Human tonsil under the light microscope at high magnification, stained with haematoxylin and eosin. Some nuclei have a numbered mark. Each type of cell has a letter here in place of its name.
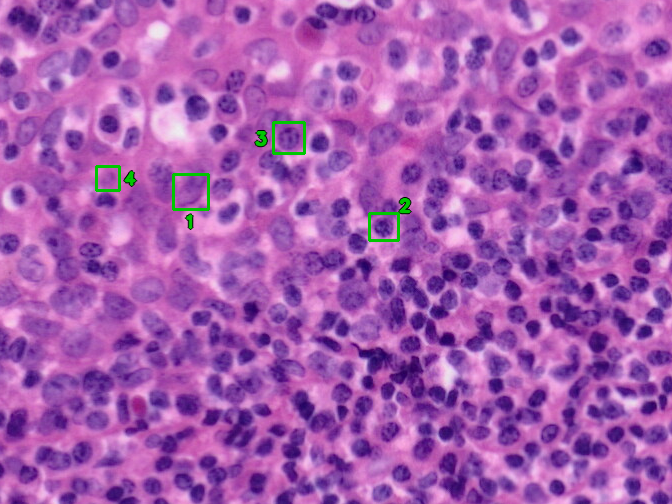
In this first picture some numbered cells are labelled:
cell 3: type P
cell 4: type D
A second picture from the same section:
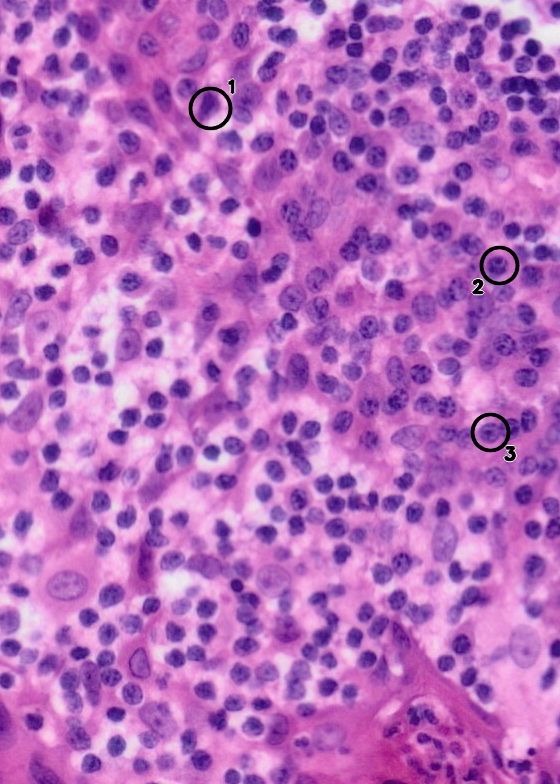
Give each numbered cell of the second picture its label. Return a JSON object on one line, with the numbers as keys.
{"1": "type D", "2": "type P", "3": "type P"}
